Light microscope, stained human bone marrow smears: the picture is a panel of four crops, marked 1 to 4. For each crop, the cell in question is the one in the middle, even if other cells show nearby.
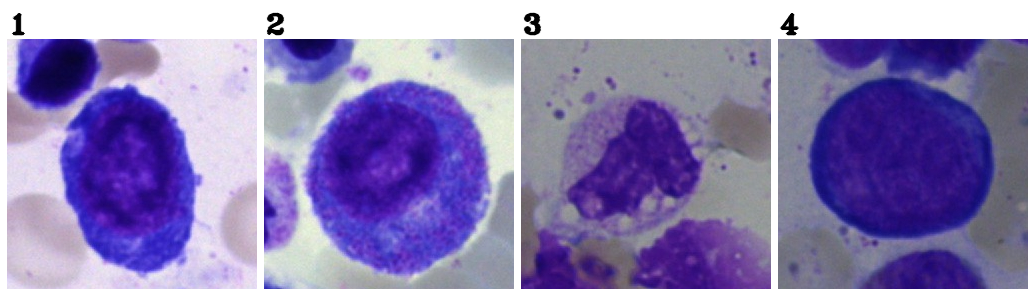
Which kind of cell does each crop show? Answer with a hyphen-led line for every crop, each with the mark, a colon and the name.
- 1: proerythroblast
- 2: promyelocyte
- 3: band neutrophil
- 4: proerythroblast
